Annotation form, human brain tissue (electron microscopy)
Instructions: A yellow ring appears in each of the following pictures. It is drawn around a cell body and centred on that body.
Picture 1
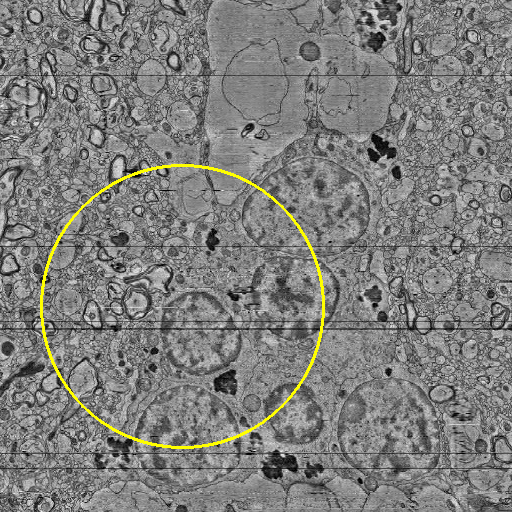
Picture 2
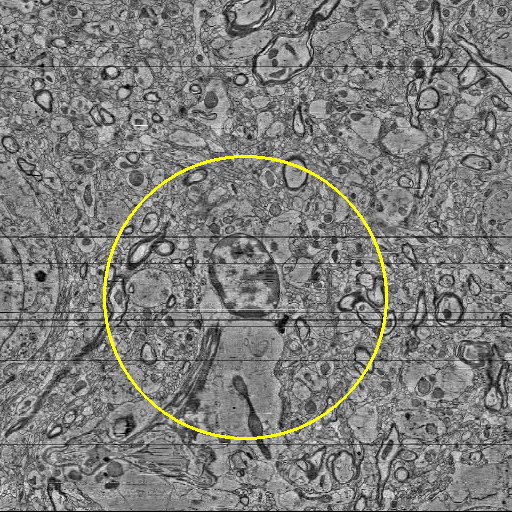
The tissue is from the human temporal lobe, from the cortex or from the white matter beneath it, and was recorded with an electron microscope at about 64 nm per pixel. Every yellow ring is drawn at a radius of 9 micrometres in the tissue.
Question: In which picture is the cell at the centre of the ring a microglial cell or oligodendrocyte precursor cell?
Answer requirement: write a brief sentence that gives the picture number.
The cell at the centre of the ring in Picture 2 is the one asked for.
